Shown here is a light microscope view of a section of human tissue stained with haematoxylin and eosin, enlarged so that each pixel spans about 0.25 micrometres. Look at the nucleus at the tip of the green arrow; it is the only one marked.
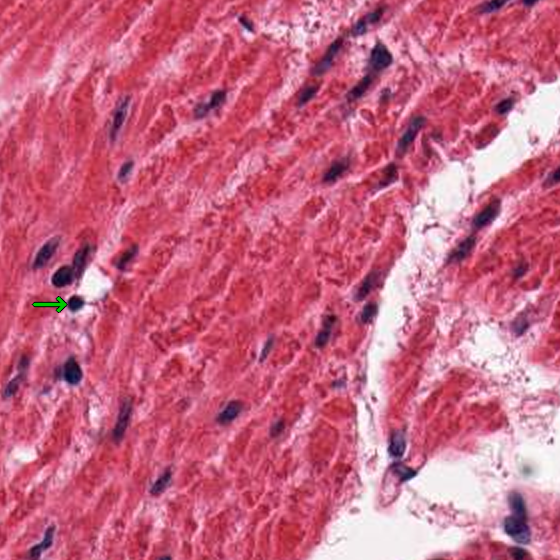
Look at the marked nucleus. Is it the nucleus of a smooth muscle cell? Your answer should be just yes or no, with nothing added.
no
